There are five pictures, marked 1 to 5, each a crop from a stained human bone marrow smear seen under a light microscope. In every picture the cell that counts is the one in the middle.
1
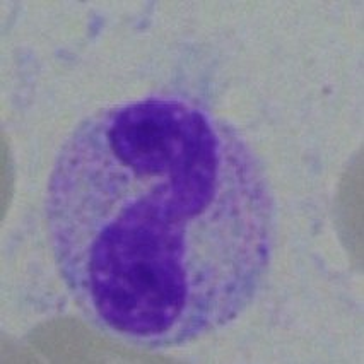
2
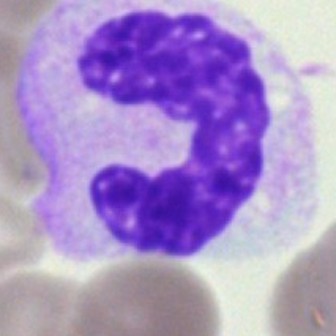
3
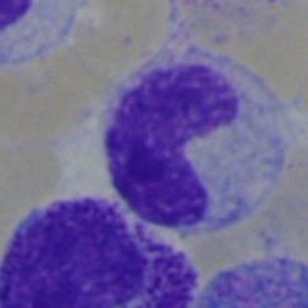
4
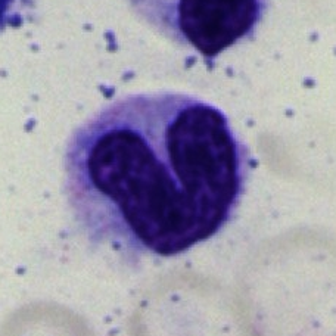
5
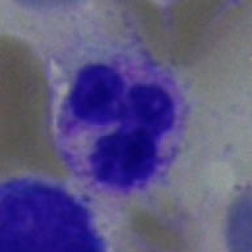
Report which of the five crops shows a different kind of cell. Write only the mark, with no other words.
5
